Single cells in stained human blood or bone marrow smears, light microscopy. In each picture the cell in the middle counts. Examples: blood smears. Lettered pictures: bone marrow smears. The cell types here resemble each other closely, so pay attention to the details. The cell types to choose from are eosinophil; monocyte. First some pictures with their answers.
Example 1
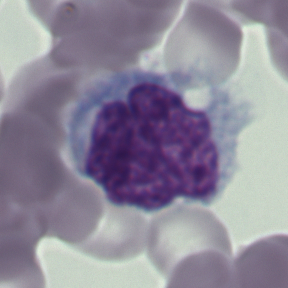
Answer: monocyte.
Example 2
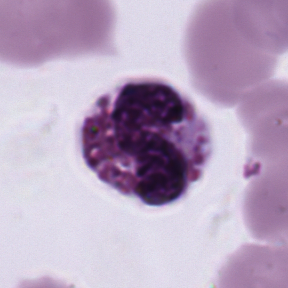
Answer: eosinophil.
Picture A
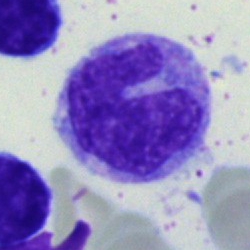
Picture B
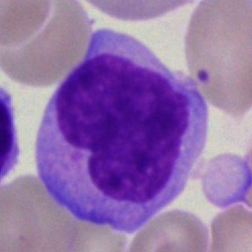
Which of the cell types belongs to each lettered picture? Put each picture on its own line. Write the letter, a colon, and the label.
A: monocyte.
B: monocyte.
